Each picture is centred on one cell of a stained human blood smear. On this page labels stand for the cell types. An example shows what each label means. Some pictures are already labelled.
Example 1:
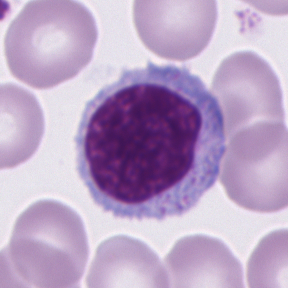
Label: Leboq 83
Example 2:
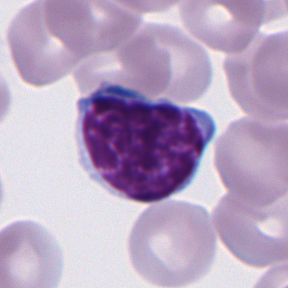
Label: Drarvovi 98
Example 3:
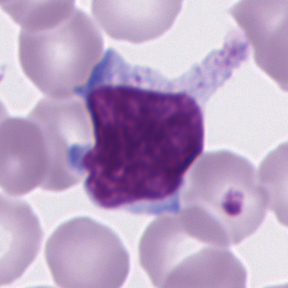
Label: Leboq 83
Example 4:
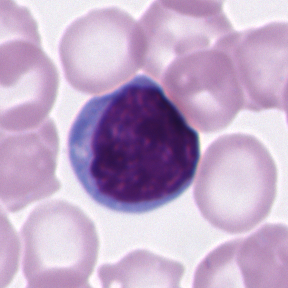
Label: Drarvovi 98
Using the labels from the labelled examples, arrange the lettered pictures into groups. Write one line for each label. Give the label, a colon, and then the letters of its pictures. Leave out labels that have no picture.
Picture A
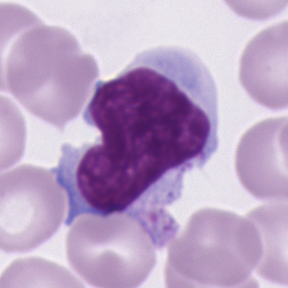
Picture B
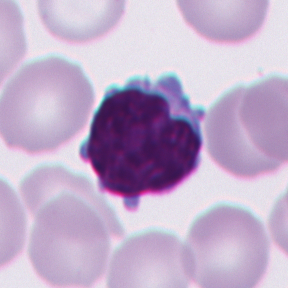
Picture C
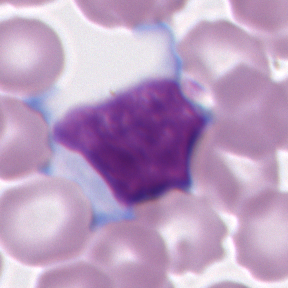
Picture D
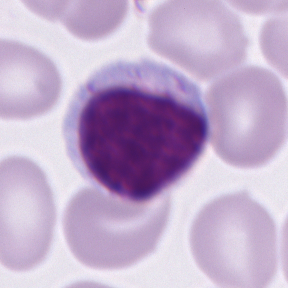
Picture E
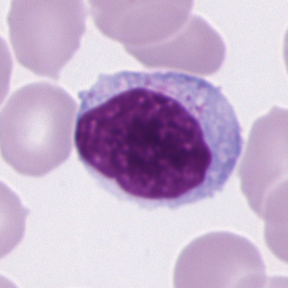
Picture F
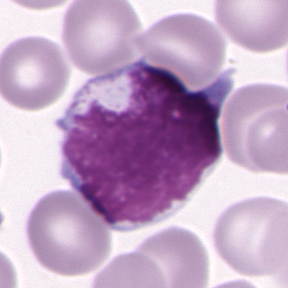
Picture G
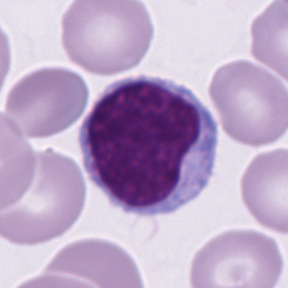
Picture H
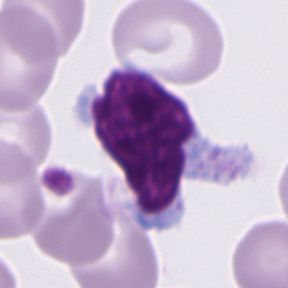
Leboq 83: A, D, E, F, H
Drarvovi 98: B, C, G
